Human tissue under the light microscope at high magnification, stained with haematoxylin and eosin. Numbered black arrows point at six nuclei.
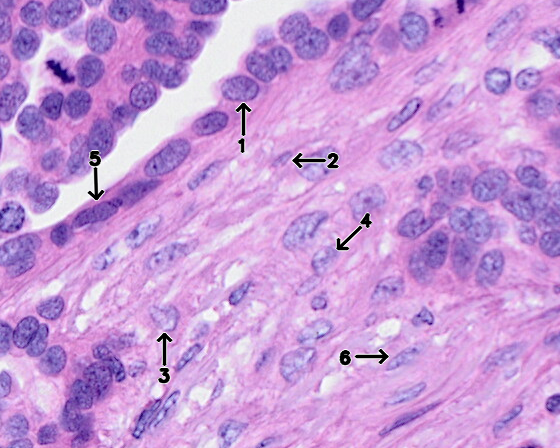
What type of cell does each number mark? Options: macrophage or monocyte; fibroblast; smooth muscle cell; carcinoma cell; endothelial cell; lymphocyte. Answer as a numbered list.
1. carcinoma cell
2. fibroblast
3. fibroblast
4. fibroblast
5. carcinoma cell
6. fibroblast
